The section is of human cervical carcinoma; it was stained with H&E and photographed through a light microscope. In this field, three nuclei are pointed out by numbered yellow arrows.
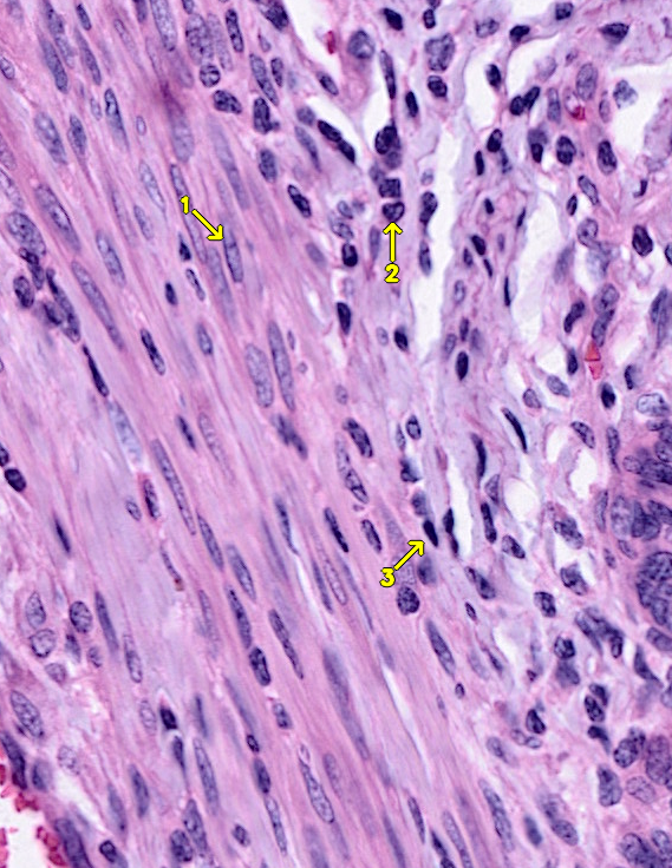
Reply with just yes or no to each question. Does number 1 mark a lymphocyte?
no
